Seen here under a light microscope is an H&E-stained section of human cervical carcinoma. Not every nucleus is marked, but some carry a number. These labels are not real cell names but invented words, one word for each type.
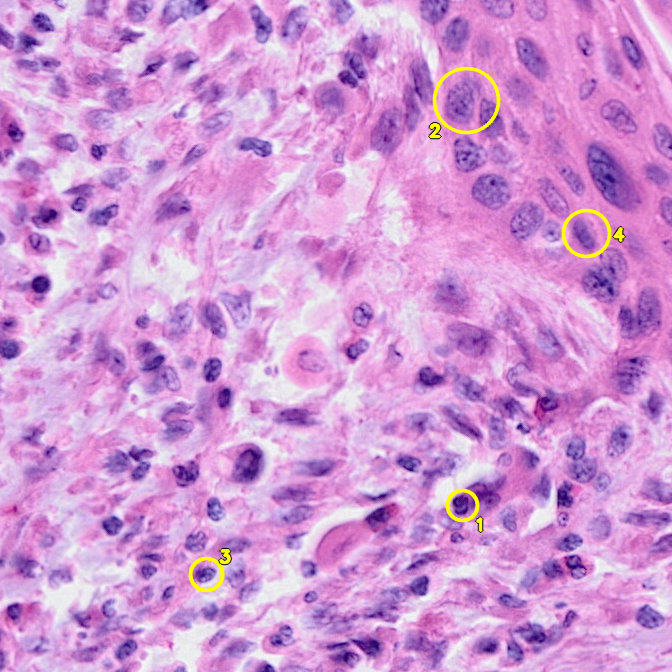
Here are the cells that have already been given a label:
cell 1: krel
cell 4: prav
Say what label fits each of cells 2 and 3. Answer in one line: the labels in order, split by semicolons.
prav; krel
